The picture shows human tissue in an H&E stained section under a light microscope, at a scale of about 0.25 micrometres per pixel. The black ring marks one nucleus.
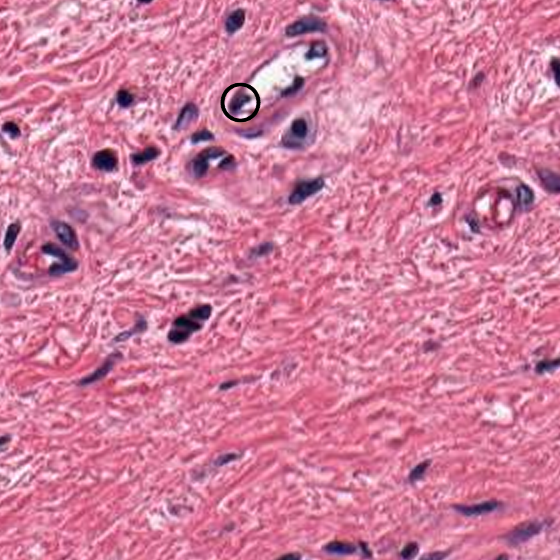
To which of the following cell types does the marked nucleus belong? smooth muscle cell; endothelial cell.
endothelial cell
